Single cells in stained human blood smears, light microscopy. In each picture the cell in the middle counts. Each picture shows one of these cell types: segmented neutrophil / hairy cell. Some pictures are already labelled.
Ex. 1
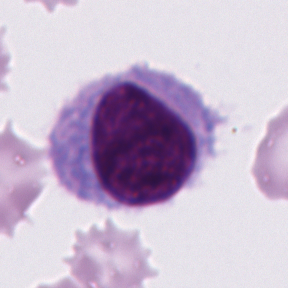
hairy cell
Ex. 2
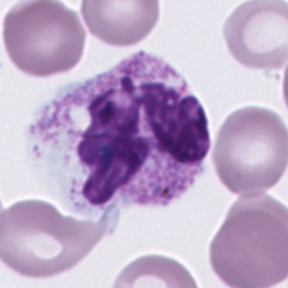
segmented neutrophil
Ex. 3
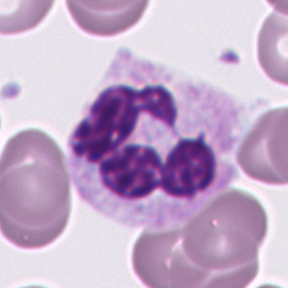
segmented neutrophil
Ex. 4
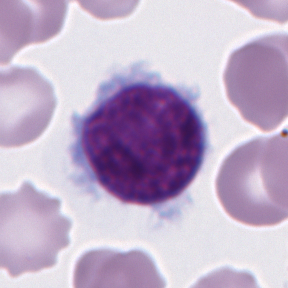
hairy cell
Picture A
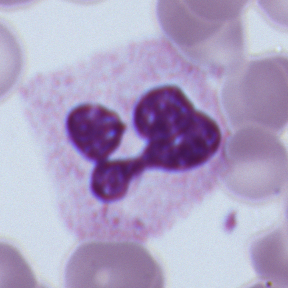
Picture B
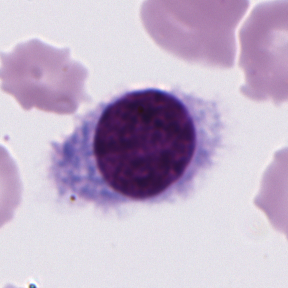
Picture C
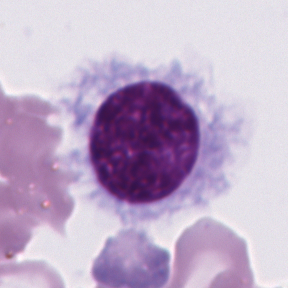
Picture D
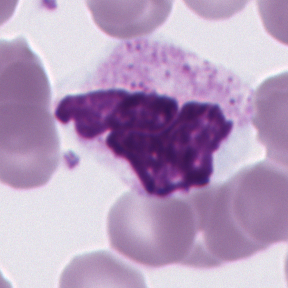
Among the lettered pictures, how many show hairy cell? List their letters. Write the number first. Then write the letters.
Count: 2 (B, C)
